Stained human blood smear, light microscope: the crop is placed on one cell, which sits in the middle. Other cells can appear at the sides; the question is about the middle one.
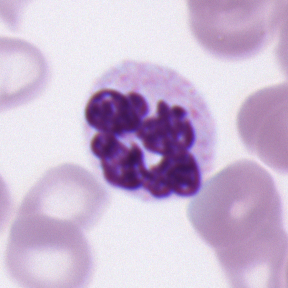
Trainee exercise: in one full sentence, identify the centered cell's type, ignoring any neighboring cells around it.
To answer, the cell in the center of the crop is a neutrophil.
